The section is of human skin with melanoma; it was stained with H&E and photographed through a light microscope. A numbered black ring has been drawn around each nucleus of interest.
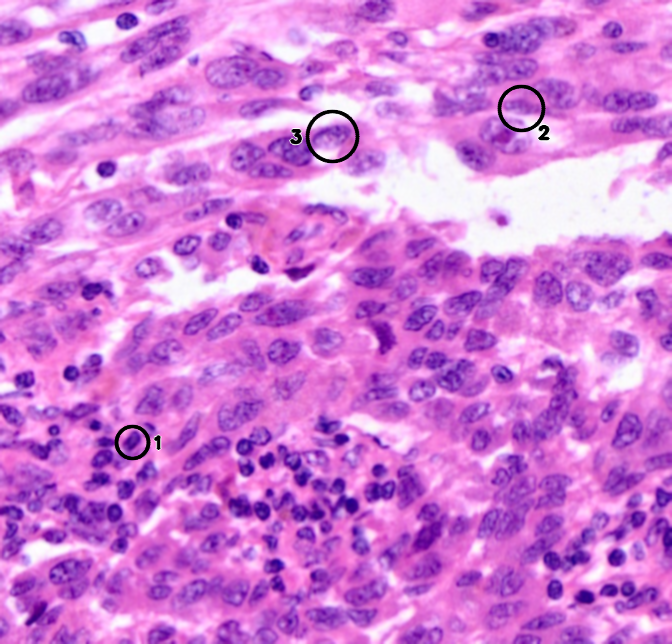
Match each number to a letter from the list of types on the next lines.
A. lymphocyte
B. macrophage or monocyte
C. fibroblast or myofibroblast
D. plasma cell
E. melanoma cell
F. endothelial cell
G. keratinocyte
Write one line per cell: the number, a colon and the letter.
1: A
2: E
3: E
